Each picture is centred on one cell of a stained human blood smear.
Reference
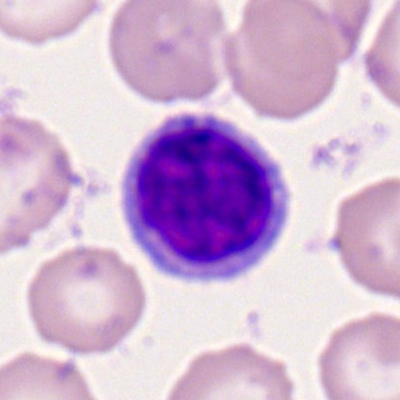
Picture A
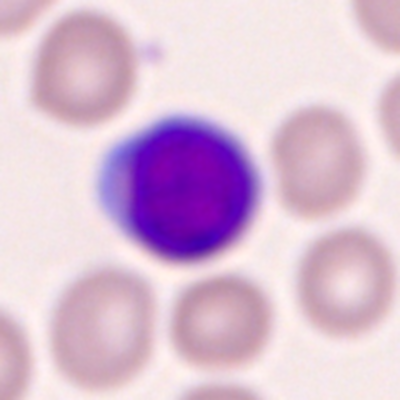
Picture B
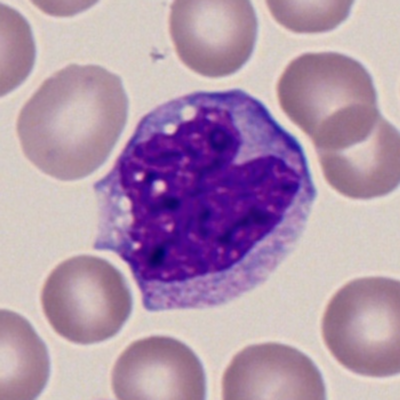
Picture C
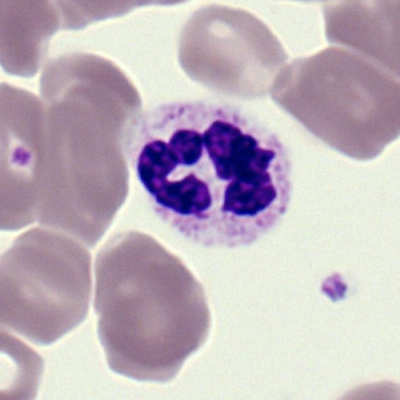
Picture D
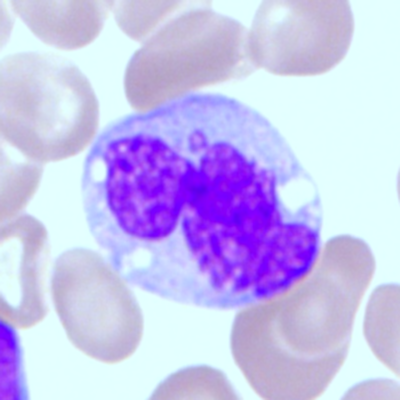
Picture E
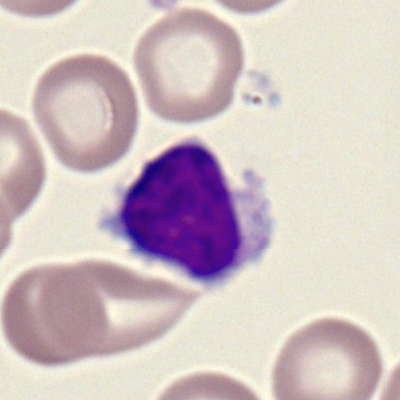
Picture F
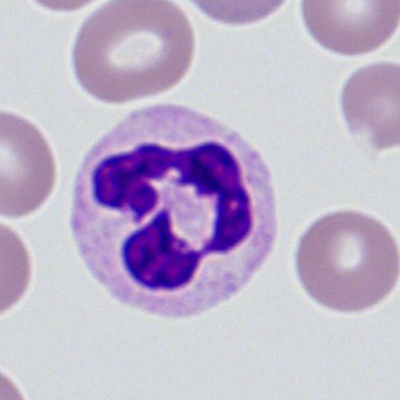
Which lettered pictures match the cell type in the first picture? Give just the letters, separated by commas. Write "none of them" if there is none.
A, E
